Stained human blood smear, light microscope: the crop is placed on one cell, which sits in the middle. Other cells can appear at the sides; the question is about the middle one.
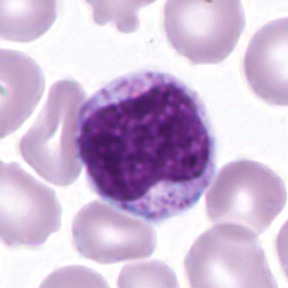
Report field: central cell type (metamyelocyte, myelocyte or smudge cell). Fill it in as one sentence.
Looking at the middle of the crop, the cell there is a metamyelocyte.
